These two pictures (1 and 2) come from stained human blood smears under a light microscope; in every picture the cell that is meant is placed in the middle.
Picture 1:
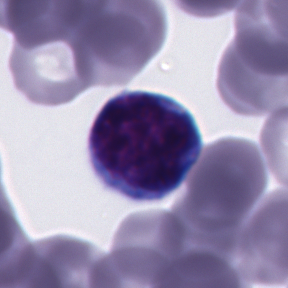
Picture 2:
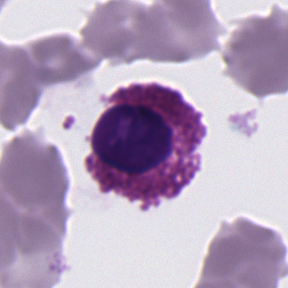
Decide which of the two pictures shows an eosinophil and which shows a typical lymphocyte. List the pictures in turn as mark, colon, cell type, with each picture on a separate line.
1: typical lymphocyte
2: eosinophil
